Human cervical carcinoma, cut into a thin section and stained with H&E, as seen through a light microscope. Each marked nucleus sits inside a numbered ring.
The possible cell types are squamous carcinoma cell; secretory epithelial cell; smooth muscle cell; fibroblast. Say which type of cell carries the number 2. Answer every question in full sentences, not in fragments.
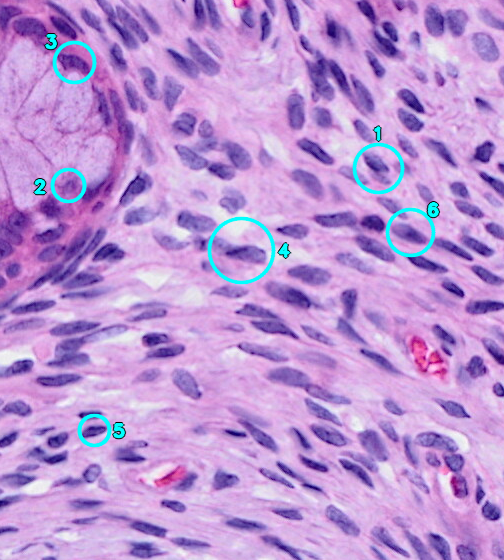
The correct label for cell 2 is a secretory epithelial cell.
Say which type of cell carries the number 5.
The label 5 in this section denotes a fibroblast.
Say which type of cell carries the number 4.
Here the cell numbered 4 is a fibroblast.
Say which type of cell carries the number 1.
The numeral 1 marks a fibroblast in this section.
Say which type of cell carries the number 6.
Recognised here as a fibroblast is the cell numbered 6.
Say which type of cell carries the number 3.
The numeral 3 marks a secretory epithelial cell in this section.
